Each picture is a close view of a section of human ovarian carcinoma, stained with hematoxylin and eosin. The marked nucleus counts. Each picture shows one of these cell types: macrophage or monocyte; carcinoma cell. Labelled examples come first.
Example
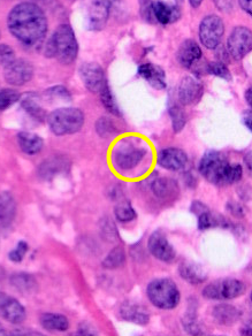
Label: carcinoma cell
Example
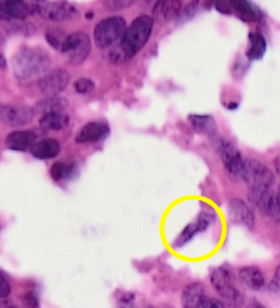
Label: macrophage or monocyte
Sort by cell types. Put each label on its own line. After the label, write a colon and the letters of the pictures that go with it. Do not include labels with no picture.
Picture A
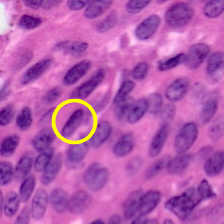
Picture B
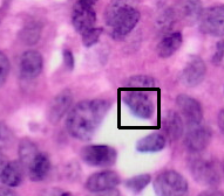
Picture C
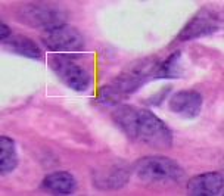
carcinoma cell: A, B, C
